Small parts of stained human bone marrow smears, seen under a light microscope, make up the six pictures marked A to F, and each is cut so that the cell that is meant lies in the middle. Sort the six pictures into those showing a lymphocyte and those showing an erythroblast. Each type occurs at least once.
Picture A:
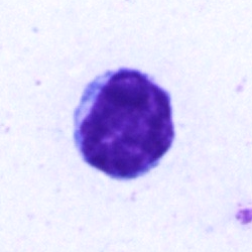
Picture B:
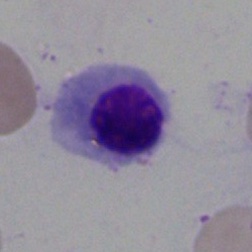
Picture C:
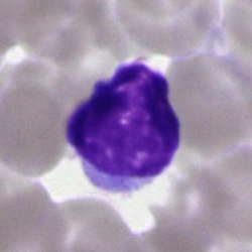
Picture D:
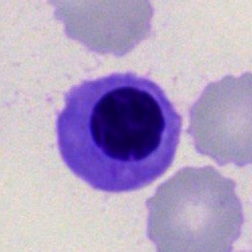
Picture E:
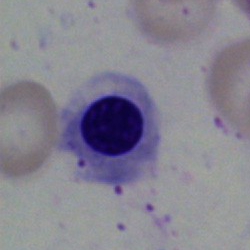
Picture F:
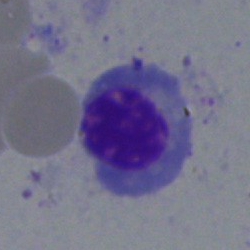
A: lymphocyte
B: erythroblast
C: lymphocyte
D: erythroblast
E: erythroblast
F: erythroblast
